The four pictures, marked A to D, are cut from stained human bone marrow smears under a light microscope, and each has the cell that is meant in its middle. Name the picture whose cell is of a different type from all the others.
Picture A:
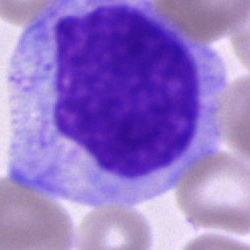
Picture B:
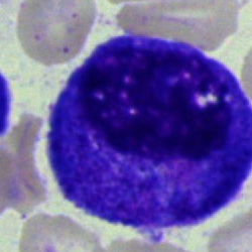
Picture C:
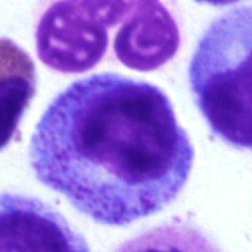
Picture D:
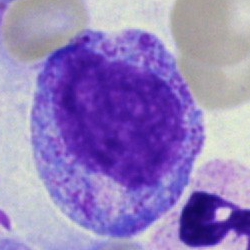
D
